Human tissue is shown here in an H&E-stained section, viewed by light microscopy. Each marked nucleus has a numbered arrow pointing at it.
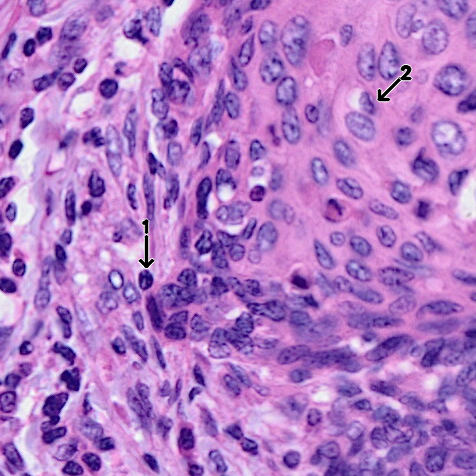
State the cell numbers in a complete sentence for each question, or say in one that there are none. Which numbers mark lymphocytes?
Exactly one of the numbered cells is a lymphocyte, namely cell 1.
